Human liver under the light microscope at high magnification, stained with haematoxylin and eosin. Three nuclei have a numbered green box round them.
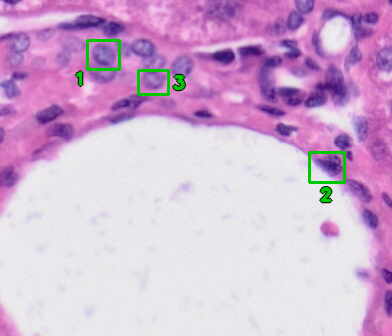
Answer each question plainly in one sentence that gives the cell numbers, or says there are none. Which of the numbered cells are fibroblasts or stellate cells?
With the exception of cell 2, no marked cell is a fibroblast or stellate cell.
